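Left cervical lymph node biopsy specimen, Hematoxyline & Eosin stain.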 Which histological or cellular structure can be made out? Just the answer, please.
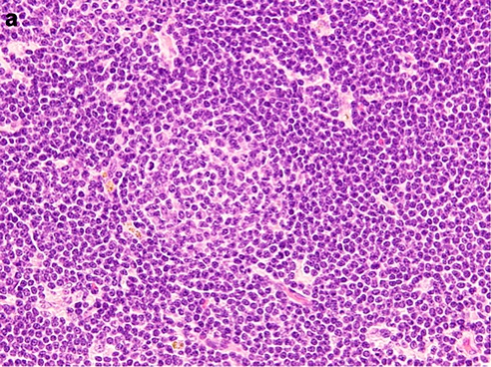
Naked follicle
